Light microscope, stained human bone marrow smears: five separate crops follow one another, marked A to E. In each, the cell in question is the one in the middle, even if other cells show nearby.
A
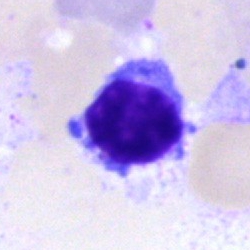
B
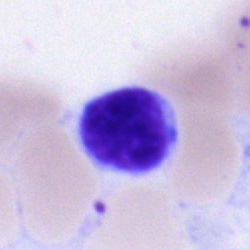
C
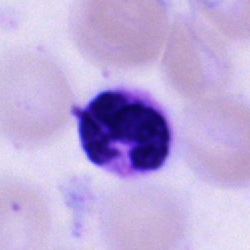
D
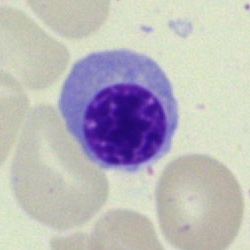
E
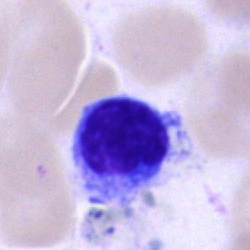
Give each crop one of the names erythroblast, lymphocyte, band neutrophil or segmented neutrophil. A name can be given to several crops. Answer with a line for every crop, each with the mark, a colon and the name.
A: lymphocyte
B: lymphocyte
C: segmented neutrophil
D: erythroblast
E: lymphocyte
